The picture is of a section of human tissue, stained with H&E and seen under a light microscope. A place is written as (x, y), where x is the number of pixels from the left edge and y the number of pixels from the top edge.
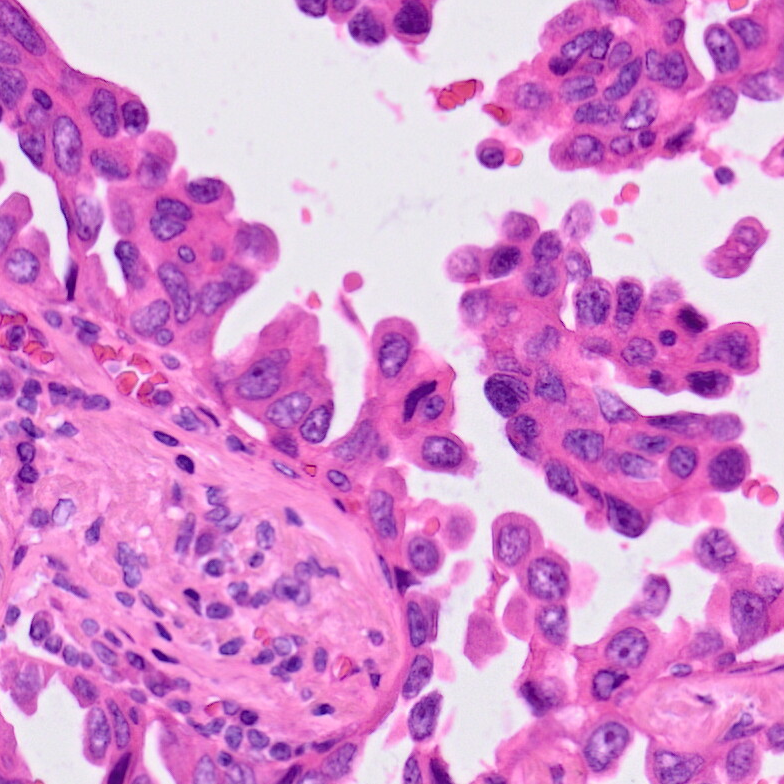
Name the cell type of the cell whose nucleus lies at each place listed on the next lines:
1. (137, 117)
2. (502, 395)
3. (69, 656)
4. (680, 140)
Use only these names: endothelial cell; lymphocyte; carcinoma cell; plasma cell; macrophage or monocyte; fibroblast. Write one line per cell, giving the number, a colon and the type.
1: carcinoma cell
2: carcinoma cell
3: lymphocyte
4: carcinoma cell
